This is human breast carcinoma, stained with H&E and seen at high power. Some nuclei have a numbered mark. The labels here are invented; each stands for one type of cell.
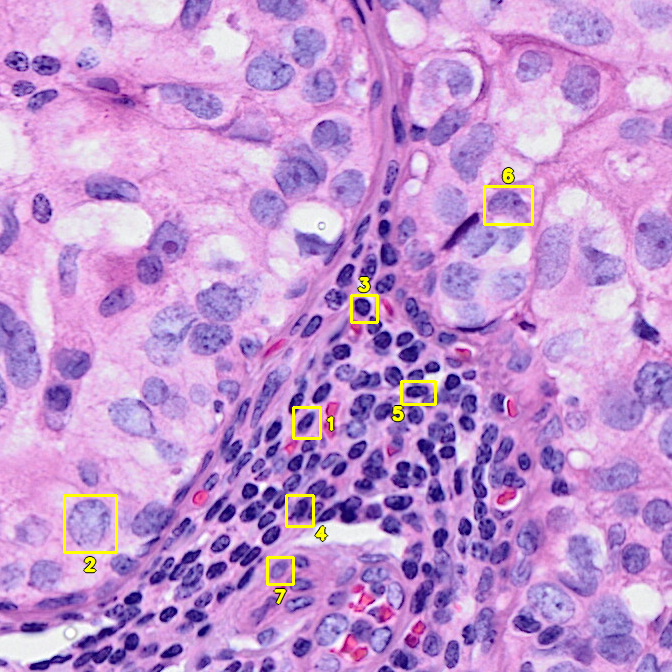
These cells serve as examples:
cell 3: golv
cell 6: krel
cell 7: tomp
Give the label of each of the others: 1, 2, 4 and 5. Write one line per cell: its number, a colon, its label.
1: golv
2: krel
4: golv
5: golv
